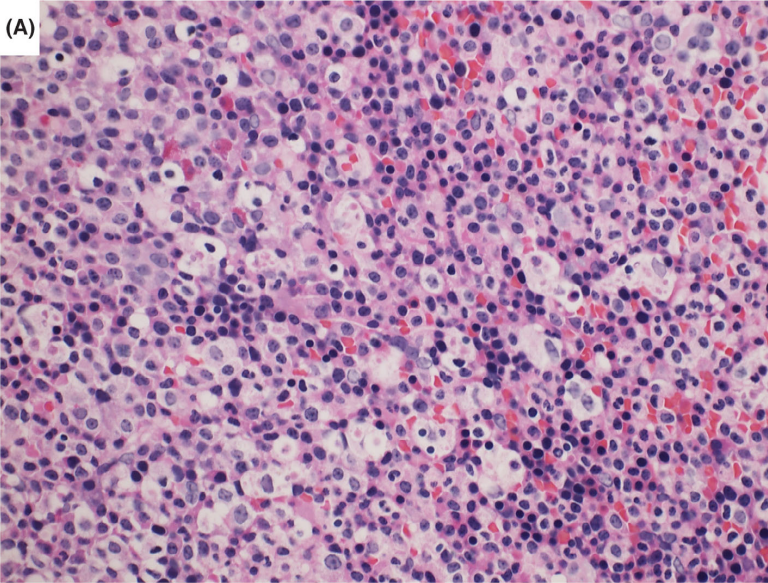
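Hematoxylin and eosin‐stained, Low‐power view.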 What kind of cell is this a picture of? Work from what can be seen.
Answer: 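Macrophages. Scattered large cells have pale, clear cytoplasm. Dark round fragments and red cells lie within that pale cytoplasm.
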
